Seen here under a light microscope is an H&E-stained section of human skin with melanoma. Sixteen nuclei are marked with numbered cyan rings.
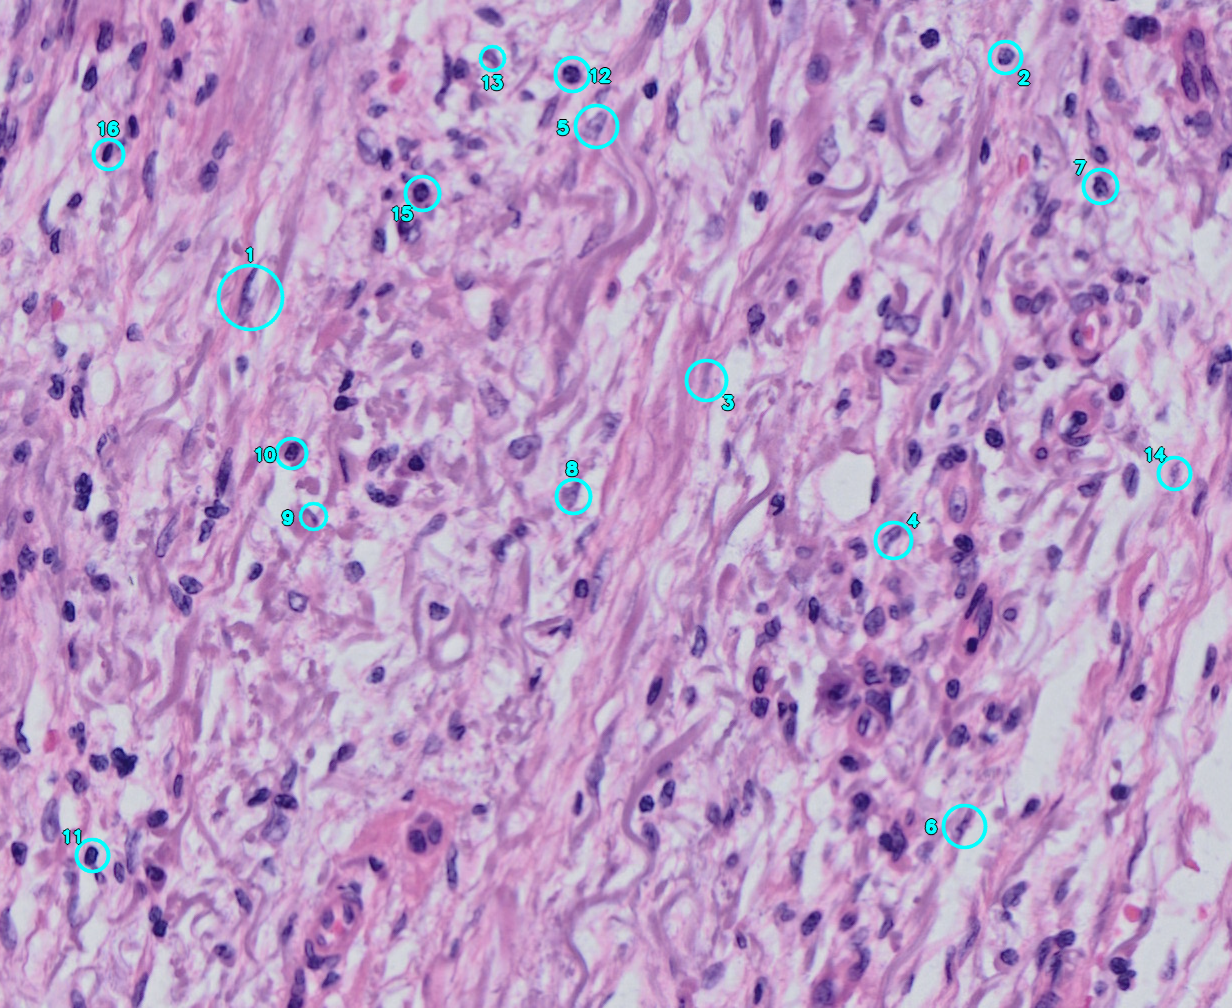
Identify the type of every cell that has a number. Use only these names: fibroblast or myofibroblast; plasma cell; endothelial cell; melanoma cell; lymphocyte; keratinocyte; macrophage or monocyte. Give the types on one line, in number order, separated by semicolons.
fibroblast or myofibroblast; lymphocyte; fibroblast or myofibroblast; fibroblast or myofibroblast; fibroblast or myofibroblast; fibroblast or myofibroblast; plasma cell; fibroblast or myofibroblast; fibroblast or myofibroblast; plasma cell; lymphocyte; plasma cell; fibroblast or myofibroblast; fibroblast or myofibroblast; plasma cell; lymphocyte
